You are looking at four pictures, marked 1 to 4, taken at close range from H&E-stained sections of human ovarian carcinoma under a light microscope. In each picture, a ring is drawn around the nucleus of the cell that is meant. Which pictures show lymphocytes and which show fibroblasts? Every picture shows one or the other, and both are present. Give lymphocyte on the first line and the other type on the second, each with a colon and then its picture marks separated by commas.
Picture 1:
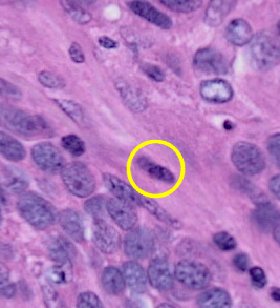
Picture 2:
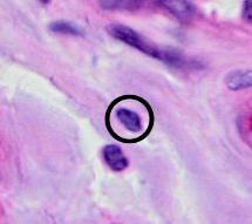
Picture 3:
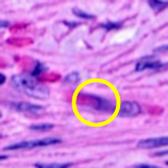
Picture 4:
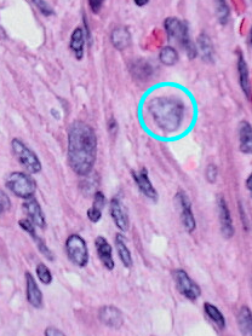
lymphocyte: 1, 2
fibroblast: 3, 4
